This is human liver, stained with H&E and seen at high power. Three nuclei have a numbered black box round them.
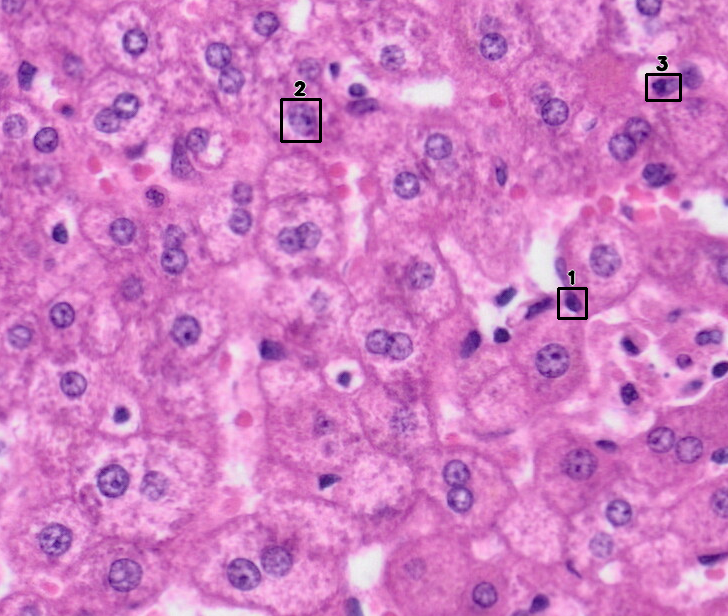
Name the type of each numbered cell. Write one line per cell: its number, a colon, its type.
1: fibroblast or stellate cell
2: hepatocyte
3: Kupffer cell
